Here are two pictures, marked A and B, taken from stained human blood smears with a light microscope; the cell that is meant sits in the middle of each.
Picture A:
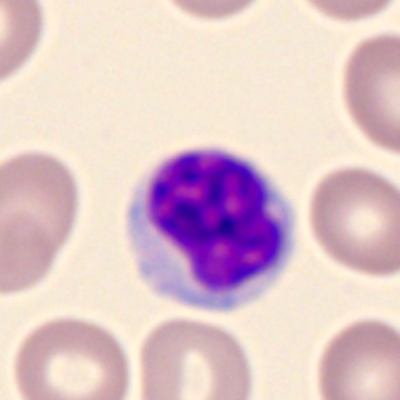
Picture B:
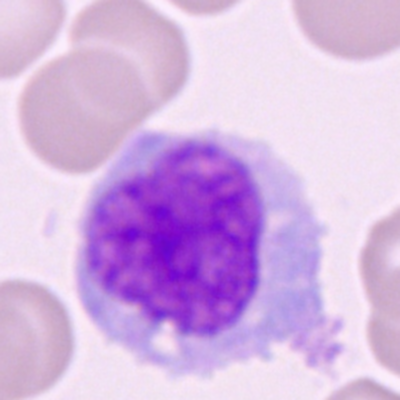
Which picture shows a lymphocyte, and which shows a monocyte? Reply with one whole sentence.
Picture B shows a monocyte, while picture A shows a lymphocyte.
